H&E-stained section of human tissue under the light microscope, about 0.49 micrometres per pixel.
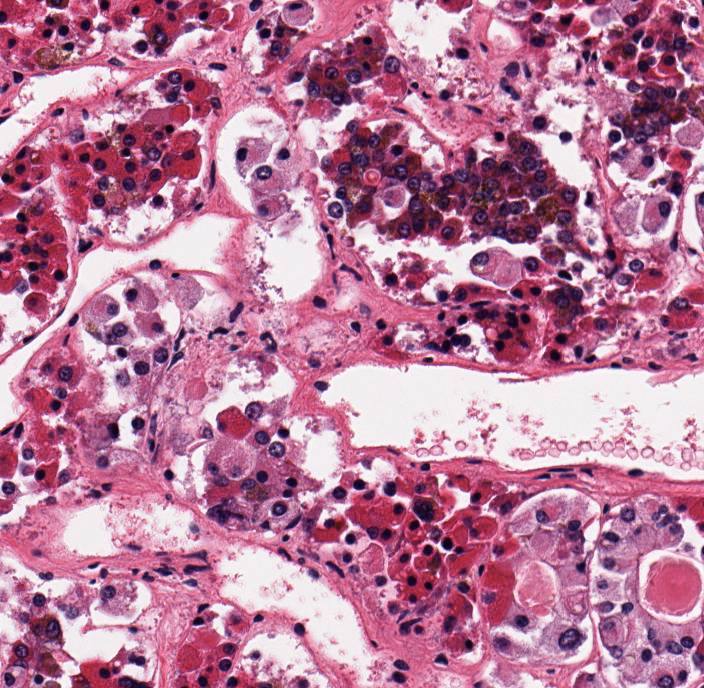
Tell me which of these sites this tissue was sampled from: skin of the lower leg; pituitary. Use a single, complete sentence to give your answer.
This piece of tissue was sampled from the pituitary.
